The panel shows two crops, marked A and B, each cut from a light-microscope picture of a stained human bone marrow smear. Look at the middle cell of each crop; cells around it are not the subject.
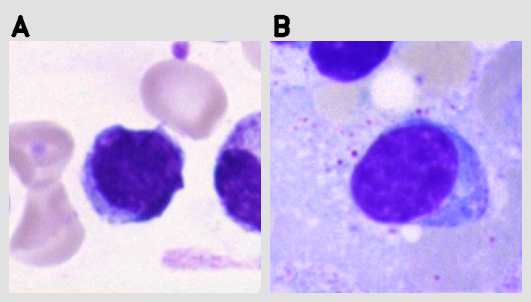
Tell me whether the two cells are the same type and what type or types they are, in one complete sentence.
Yes, lymphocytes are the central cells in the two crops.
